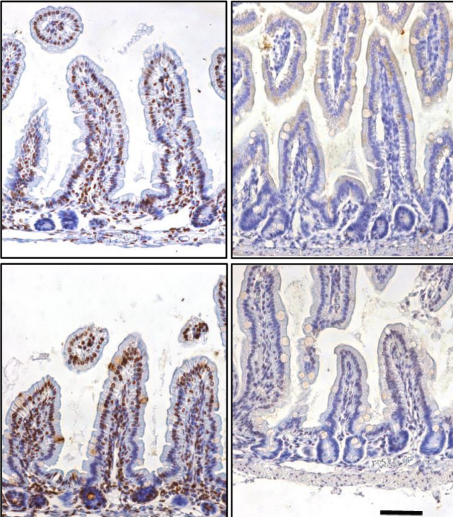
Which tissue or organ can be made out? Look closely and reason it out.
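Tall finger-like villi project into a lumen. Villi are lined by a single layer of columnar epithelium. Villi have a loose connective tissue core. Crypts and a muscular layer lie at the base.
Small intestine.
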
